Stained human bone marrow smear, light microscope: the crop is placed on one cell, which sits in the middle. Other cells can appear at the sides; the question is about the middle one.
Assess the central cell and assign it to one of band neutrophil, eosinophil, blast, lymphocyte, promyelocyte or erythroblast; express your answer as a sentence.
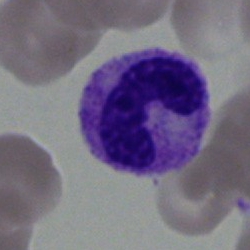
The cell of interest, in the center, is a band neutrophil.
